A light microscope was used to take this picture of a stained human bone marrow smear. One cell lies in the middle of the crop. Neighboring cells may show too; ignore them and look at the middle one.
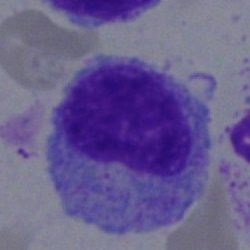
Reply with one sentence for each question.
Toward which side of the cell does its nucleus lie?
The nucleus is pushed toward the top of the cell.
